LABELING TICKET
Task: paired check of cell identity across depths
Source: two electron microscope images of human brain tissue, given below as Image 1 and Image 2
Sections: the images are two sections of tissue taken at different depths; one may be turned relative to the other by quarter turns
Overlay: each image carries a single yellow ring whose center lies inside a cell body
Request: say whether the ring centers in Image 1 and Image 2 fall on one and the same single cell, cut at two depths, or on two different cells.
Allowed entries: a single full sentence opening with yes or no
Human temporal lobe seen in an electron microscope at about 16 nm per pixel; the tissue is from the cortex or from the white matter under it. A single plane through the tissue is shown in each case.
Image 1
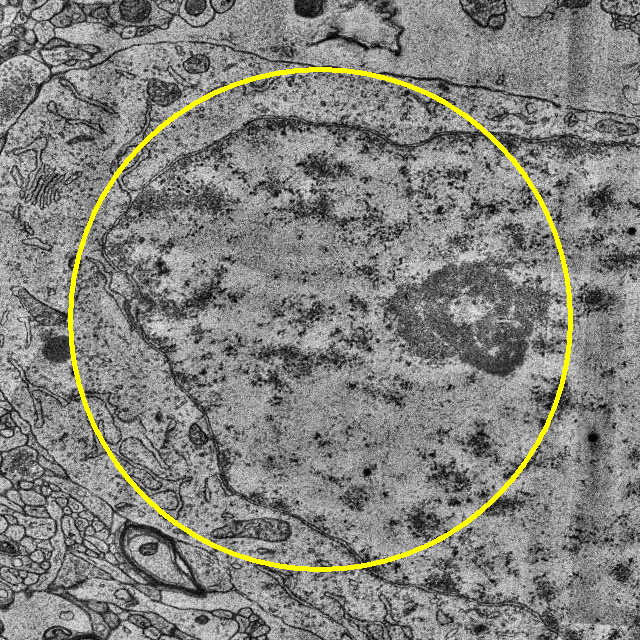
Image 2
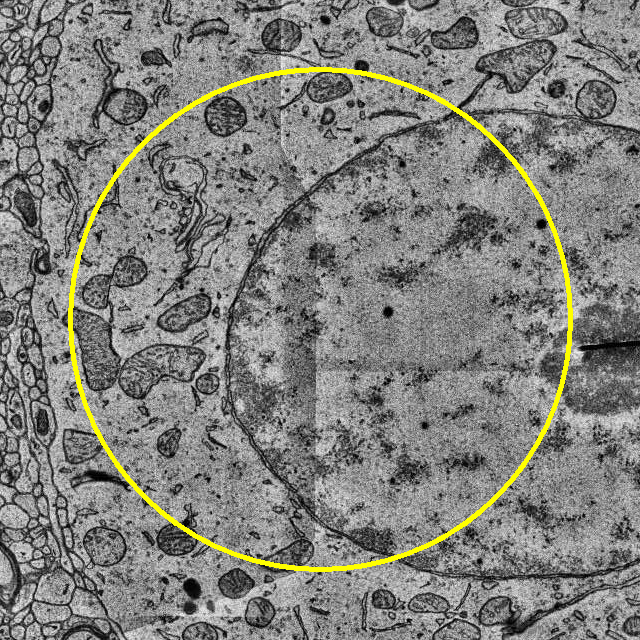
No, two distinct cells are each enclosed by a yellow ring.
